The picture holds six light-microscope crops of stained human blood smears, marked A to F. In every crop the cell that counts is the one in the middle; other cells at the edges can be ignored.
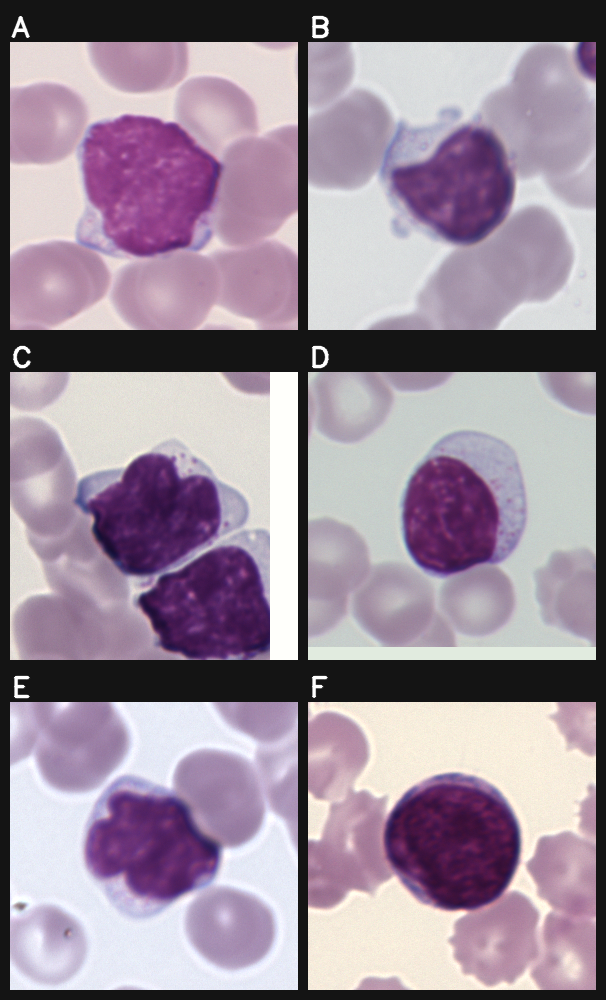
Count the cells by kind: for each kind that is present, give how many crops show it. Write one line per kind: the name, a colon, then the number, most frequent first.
large granular lymphocyte: 5
myeloblast: 1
